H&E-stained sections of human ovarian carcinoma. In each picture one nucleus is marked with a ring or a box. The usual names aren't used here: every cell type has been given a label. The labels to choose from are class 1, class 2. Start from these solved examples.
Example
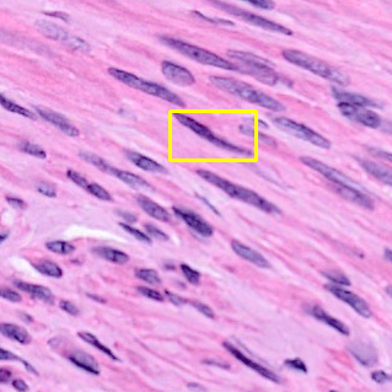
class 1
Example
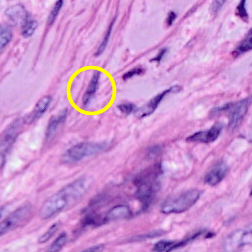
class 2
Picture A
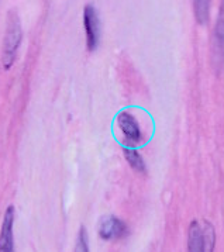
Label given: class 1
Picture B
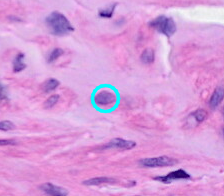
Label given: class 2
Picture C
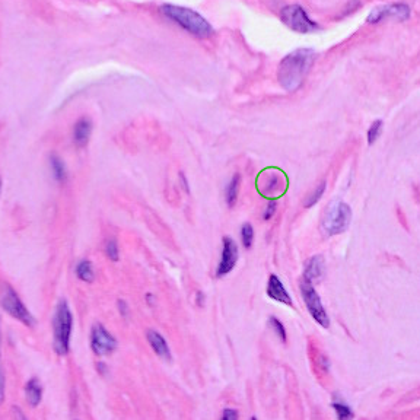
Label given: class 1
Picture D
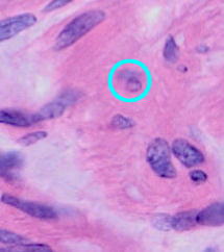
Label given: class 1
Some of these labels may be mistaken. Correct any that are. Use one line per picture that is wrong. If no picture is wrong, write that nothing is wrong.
Wrong: B (class 2); correct: class 1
